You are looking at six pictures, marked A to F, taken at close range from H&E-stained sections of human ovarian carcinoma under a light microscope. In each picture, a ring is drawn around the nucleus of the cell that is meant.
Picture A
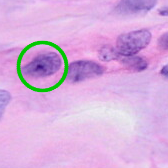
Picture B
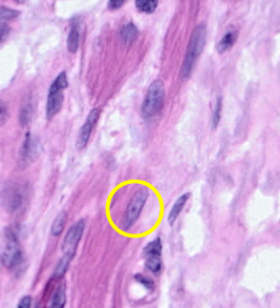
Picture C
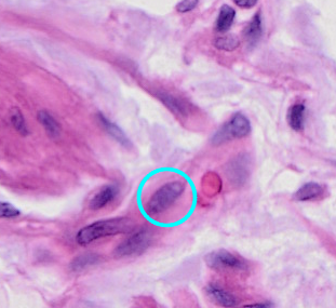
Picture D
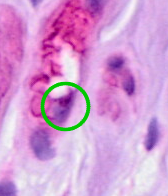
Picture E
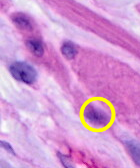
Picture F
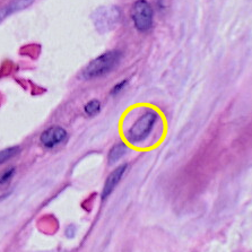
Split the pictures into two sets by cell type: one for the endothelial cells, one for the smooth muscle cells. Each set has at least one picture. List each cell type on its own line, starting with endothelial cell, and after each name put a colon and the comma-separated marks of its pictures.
endothelial cell: A, C, D, F
smooth muscle cell: B, E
